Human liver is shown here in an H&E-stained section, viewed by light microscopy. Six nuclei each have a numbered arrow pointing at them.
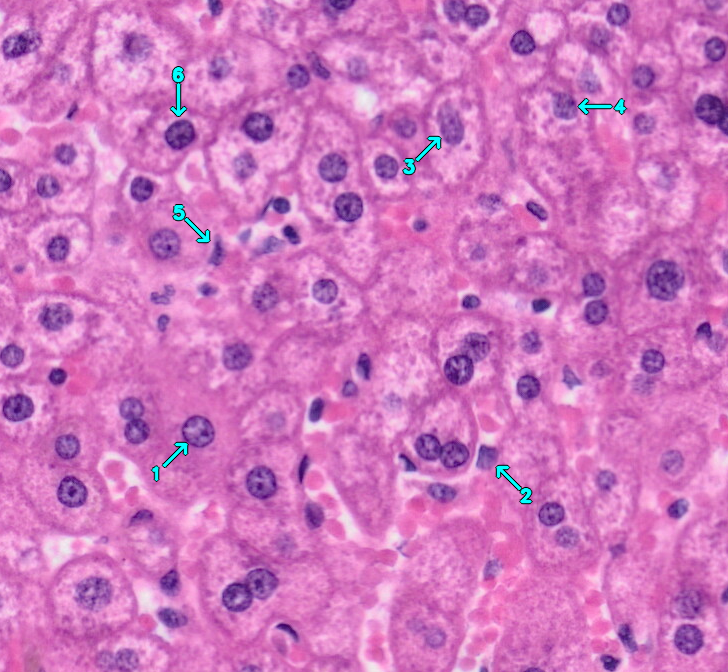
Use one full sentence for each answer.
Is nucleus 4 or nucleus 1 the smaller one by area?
The smaller nucleus is 4, and 1 covers roughly 1.5 times its area.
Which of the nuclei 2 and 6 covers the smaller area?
Number 2 is smaller, since number 6 takes up about 1.5 times as much area.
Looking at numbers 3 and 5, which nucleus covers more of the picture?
At about 2.5 times the area of nucleus 5, nucleus 3 is the larger of the two.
